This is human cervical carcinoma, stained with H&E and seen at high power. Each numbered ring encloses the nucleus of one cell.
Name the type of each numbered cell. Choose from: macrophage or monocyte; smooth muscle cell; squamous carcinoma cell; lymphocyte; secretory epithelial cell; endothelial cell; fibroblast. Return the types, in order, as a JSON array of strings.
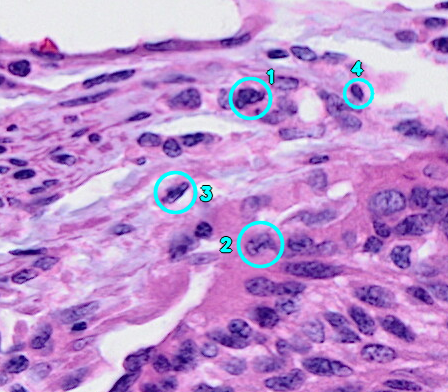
["lymphocyte", "squamous carcinoma cell", "lymphocyte", "lymphocyte"]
